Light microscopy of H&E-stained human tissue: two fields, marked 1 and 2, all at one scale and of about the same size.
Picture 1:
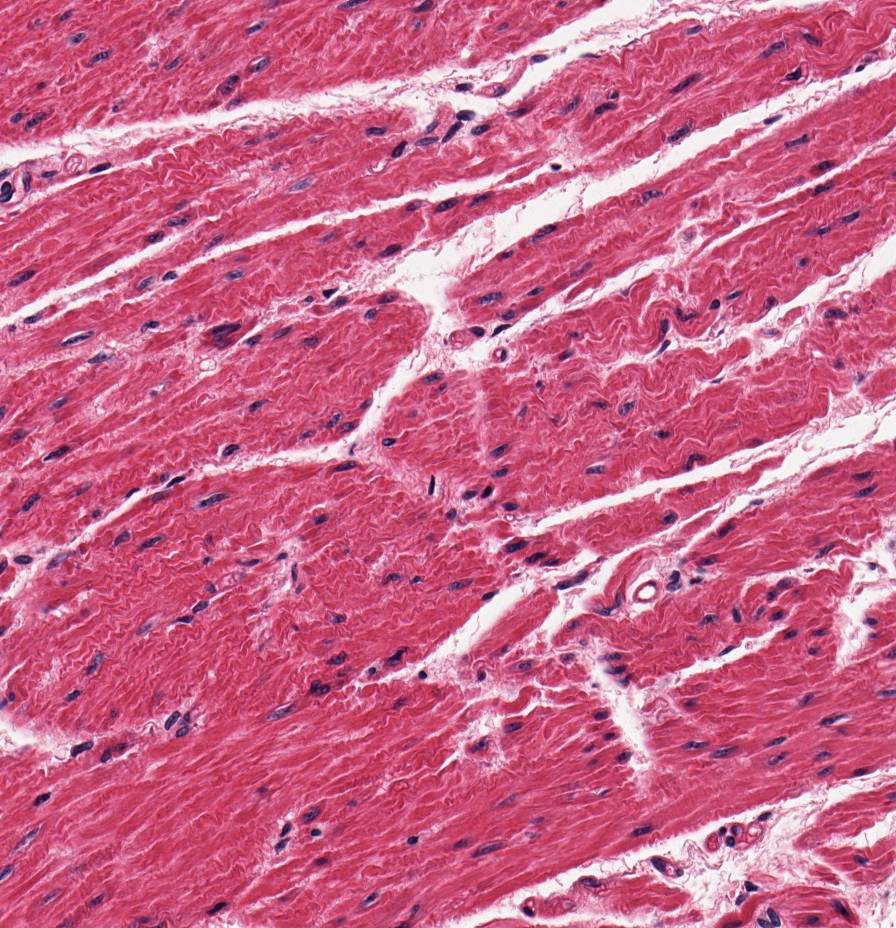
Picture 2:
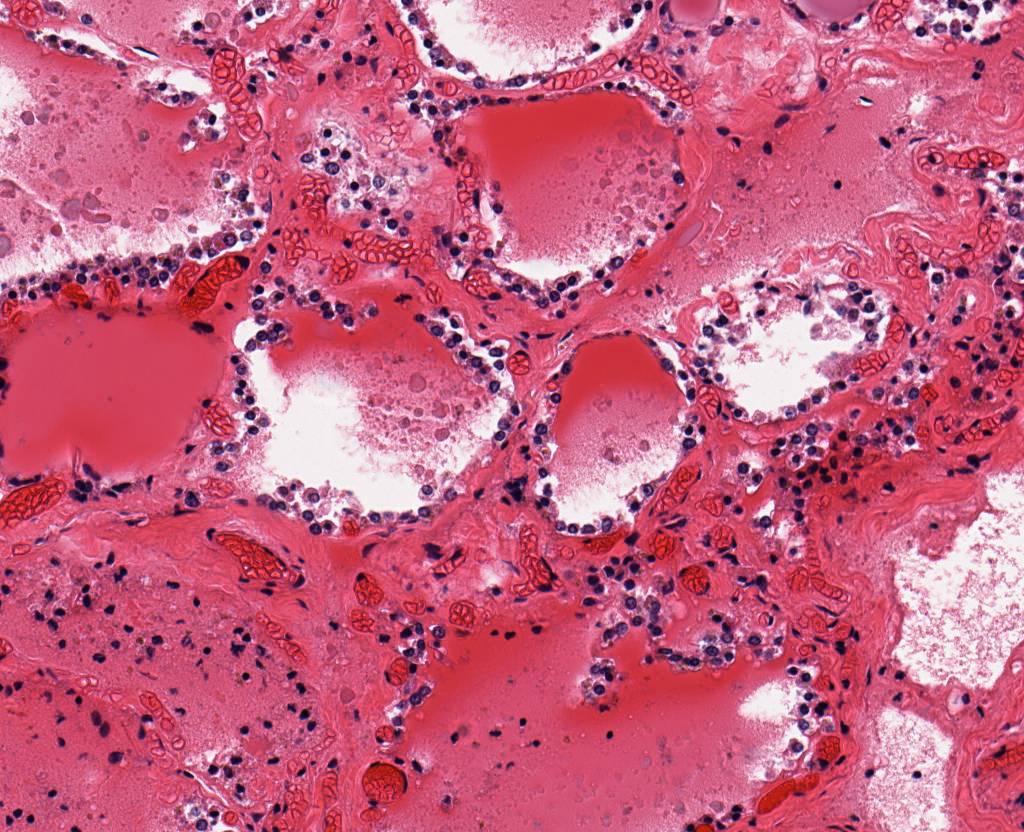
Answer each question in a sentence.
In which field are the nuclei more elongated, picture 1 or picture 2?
Longer, more slender nuclei lie in picture 1.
